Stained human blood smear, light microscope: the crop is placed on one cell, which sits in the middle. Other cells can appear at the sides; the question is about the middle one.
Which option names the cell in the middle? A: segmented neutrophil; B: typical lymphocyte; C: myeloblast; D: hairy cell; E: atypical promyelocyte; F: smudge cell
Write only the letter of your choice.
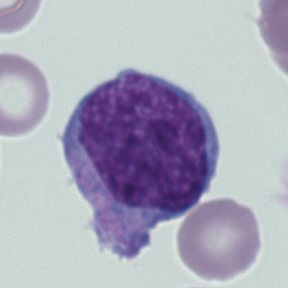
E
